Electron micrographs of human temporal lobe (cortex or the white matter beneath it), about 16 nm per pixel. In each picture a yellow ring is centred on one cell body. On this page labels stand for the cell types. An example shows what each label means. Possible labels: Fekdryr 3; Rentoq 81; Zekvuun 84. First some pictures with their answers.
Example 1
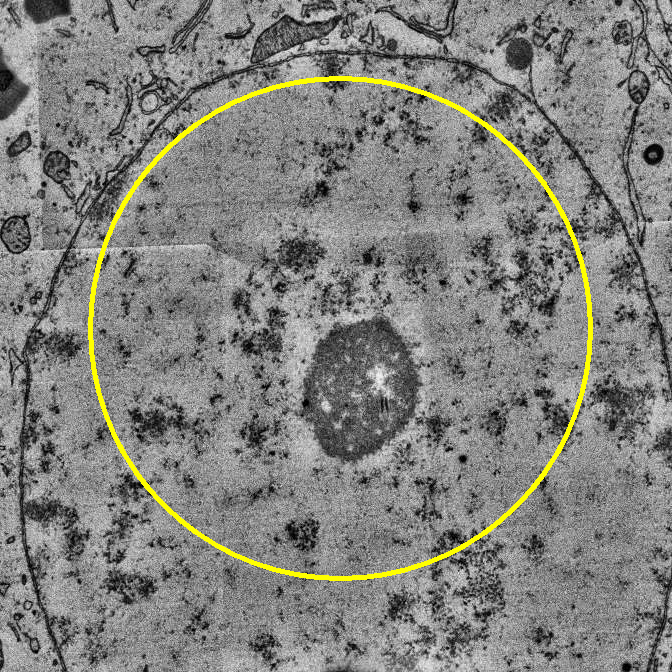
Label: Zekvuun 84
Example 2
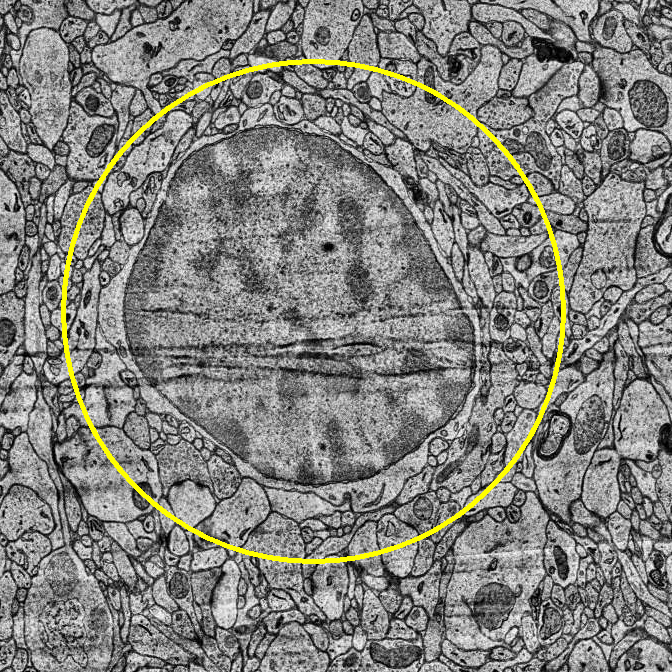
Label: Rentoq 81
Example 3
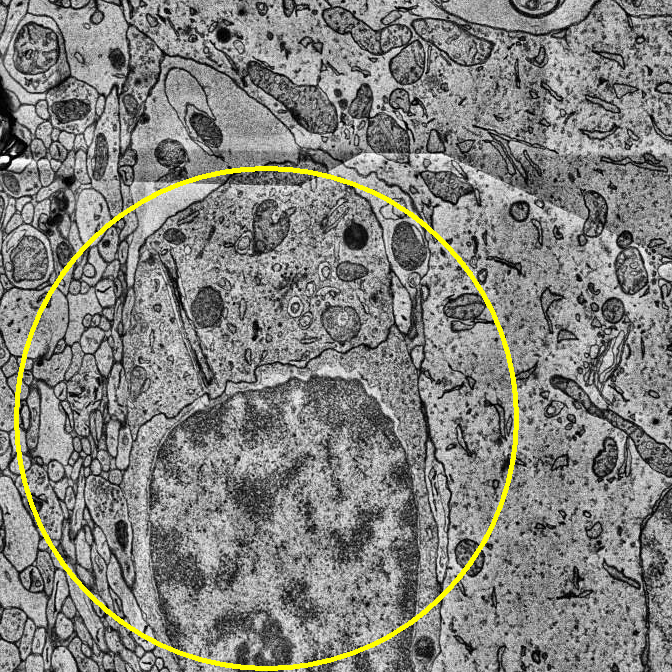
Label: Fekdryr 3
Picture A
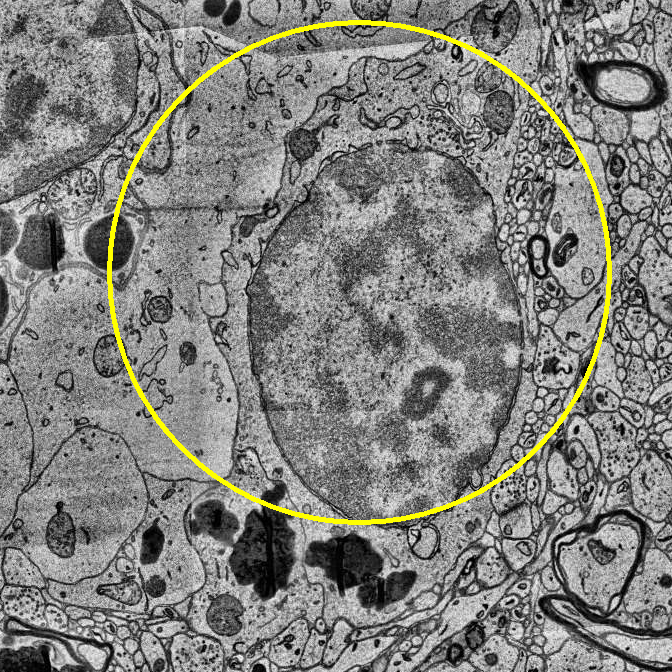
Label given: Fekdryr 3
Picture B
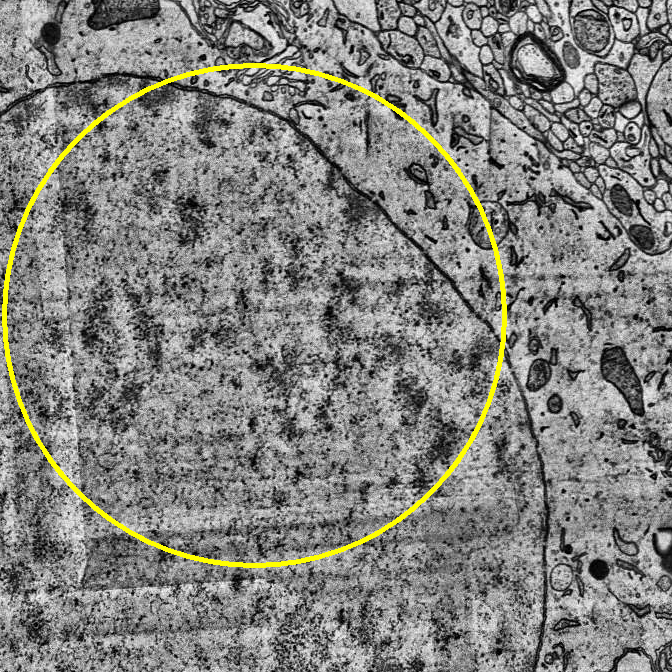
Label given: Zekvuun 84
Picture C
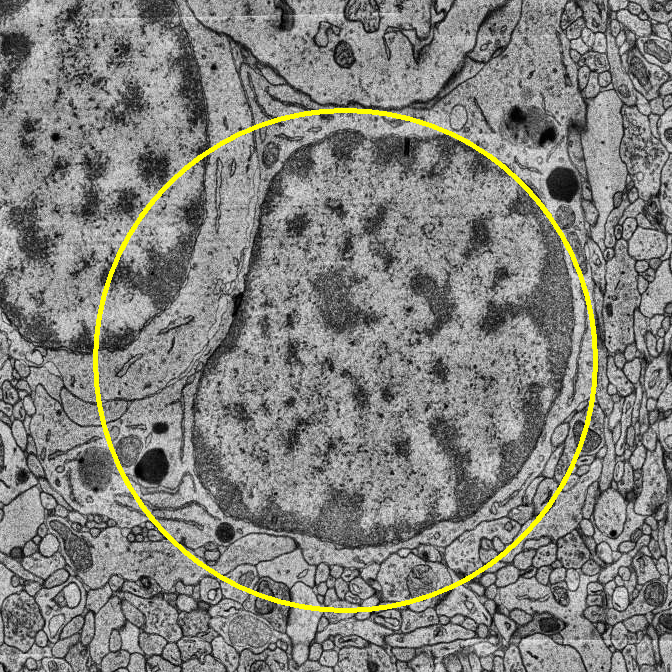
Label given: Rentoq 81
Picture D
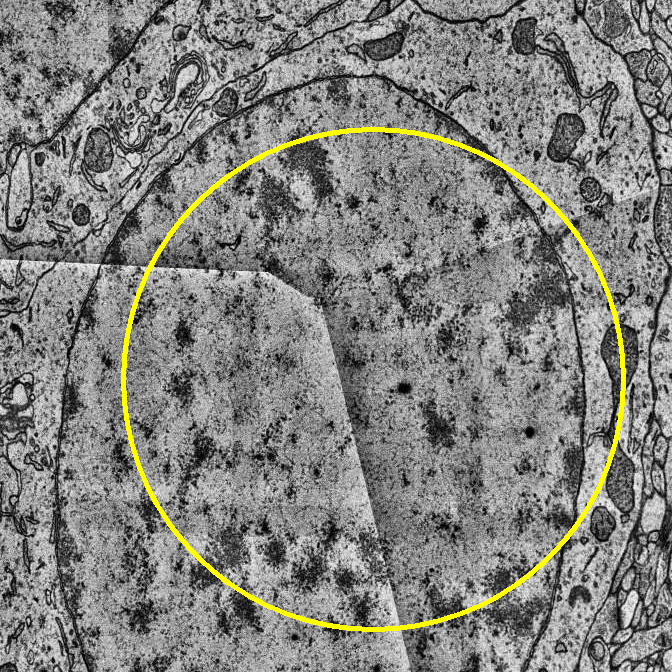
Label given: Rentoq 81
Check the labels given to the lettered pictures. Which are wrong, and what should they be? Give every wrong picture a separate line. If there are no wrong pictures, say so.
D should be Zekvuun 84, not Rentoq 81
